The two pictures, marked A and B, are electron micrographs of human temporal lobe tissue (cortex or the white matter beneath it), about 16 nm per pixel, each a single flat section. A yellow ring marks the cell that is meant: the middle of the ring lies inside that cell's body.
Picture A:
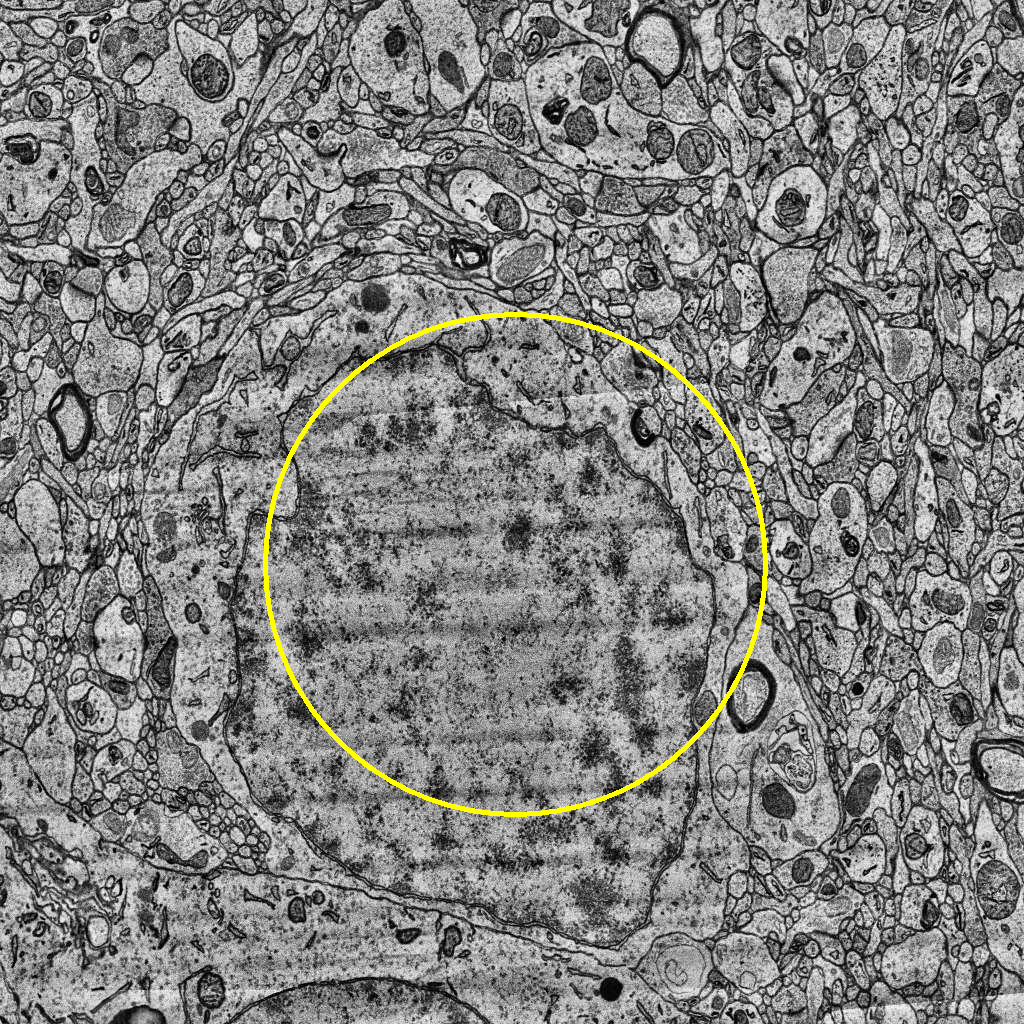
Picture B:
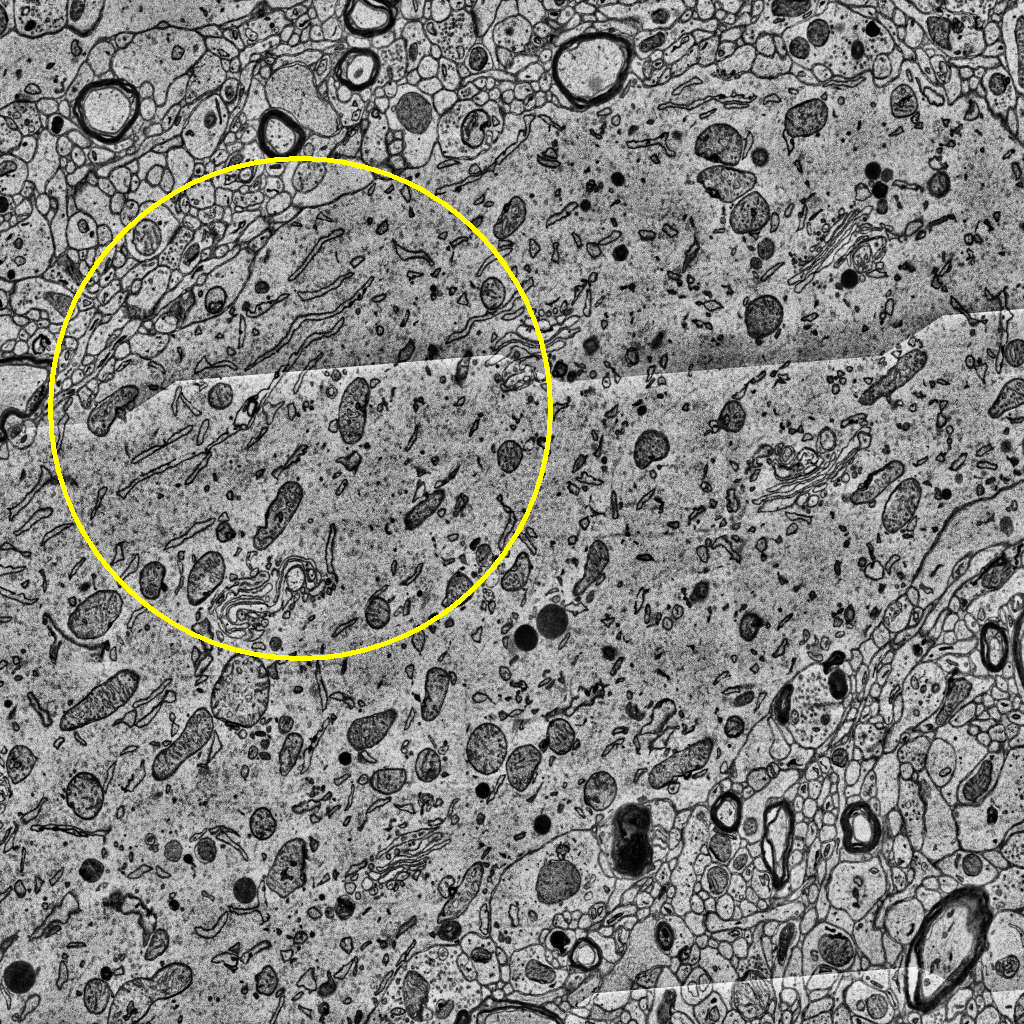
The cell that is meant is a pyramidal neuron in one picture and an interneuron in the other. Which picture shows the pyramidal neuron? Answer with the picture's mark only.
B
